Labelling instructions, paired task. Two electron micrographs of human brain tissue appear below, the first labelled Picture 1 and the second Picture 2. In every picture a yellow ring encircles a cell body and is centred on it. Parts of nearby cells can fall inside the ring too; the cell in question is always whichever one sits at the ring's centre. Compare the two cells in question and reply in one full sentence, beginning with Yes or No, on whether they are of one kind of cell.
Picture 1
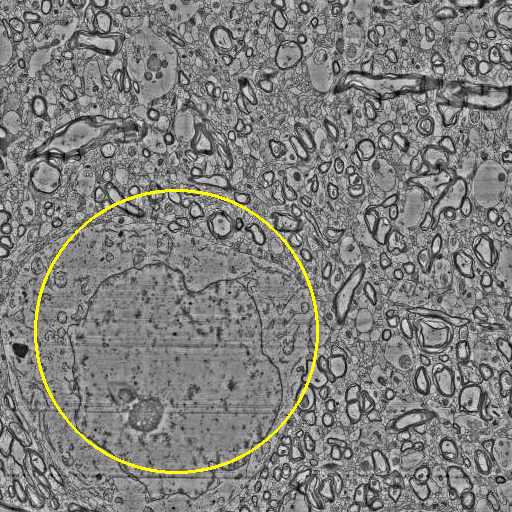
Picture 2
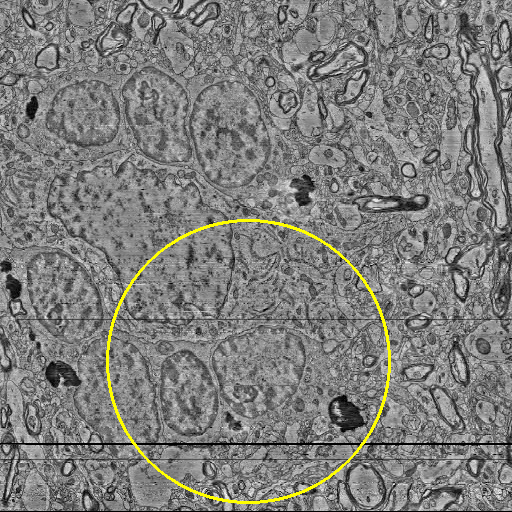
No, the two cells at the ring centres in Picture 1 and Picture 2 are of two kinds.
